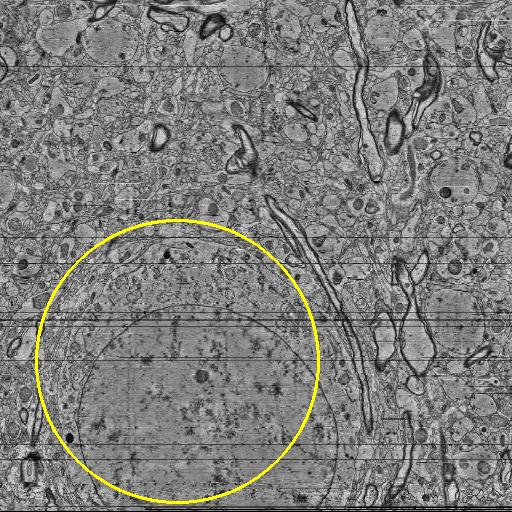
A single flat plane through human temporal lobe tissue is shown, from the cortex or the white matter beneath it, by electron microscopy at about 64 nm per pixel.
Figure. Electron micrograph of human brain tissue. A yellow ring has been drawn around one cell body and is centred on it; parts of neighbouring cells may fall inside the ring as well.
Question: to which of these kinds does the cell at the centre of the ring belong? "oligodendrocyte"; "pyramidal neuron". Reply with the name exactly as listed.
pyramidal neuron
